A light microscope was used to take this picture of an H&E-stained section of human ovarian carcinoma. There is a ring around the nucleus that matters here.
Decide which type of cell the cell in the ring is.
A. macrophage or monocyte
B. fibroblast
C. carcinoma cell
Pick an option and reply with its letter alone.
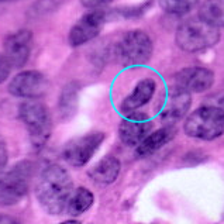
A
